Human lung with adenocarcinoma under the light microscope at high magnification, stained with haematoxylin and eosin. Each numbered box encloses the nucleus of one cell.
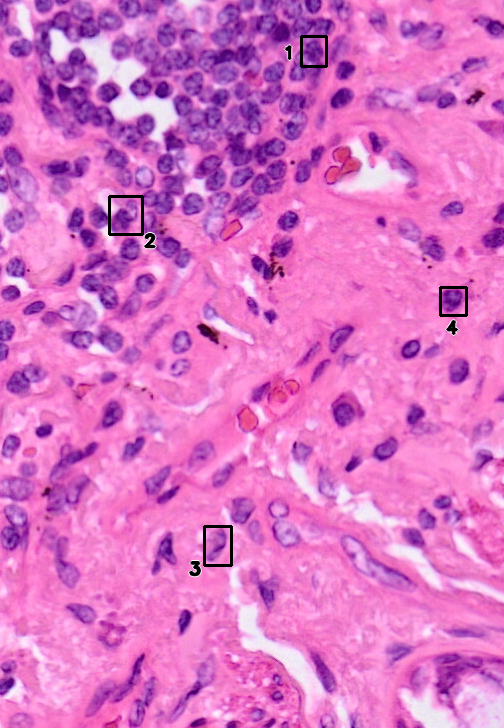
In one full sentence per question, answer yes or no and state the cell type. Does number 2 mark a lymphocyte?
Yes, the cell identified as number 2 is a lymphocyte.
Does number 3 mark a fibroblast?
Yes, the cell denoted by 3 is a fibroblast.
